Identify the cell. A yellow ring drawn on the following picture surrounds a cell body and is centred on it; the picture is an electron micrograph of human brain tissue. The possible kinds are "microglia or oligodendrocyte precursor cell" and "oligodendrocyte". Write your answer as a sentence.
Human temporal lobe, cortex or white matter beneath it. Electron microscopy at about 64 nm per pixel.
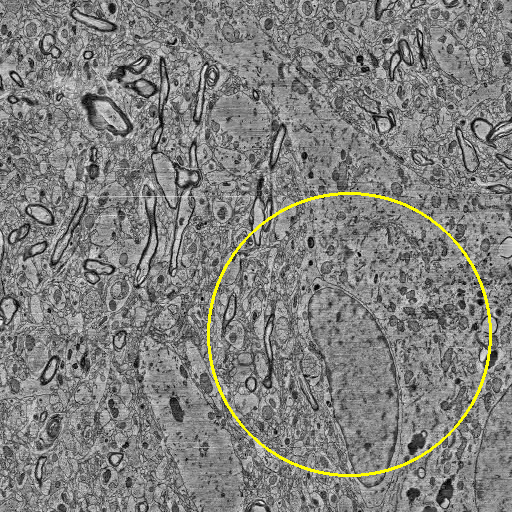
The cell identified by the ring is a microglial cell or oligodendrocyte precursor cell.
